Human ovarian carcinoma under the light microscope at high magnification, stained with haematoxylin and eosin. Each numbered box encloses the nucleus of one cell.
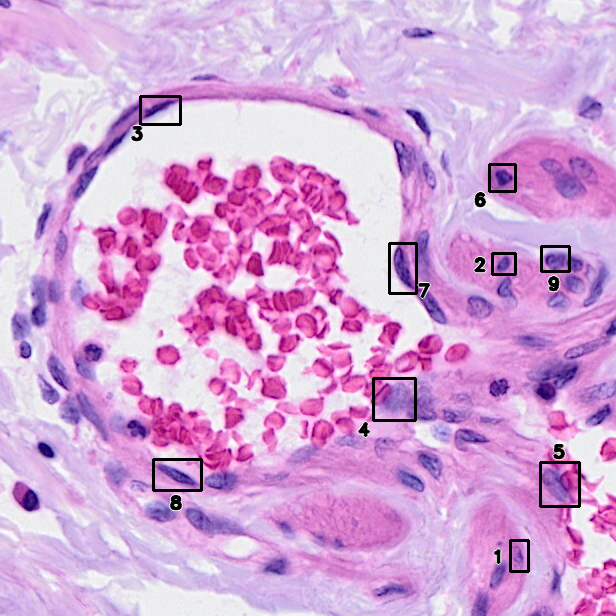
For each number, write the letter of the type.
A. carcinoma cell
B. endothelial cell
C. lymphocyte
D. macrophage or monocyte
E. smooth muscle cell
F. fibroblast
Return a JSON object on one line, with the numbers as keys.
{"1": "E", "2": "E", "3": "B", "4": "B", "5": "B", "6": "E", "7": "B", "8": "B", "9": "E"}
